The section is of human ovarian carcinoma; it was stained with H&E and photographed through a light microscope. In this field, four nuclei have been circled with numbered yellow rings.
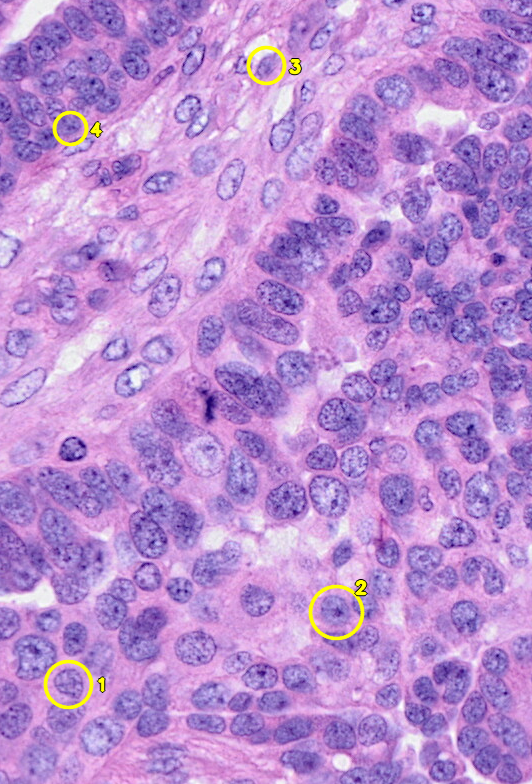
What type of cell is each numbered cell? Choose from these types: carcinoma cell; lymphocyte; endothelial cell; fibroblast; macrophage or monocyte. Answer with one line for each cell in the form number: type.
1: carcinoma cell
2: carcinoma cell
3: fibroblast
4: carcinoma cell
